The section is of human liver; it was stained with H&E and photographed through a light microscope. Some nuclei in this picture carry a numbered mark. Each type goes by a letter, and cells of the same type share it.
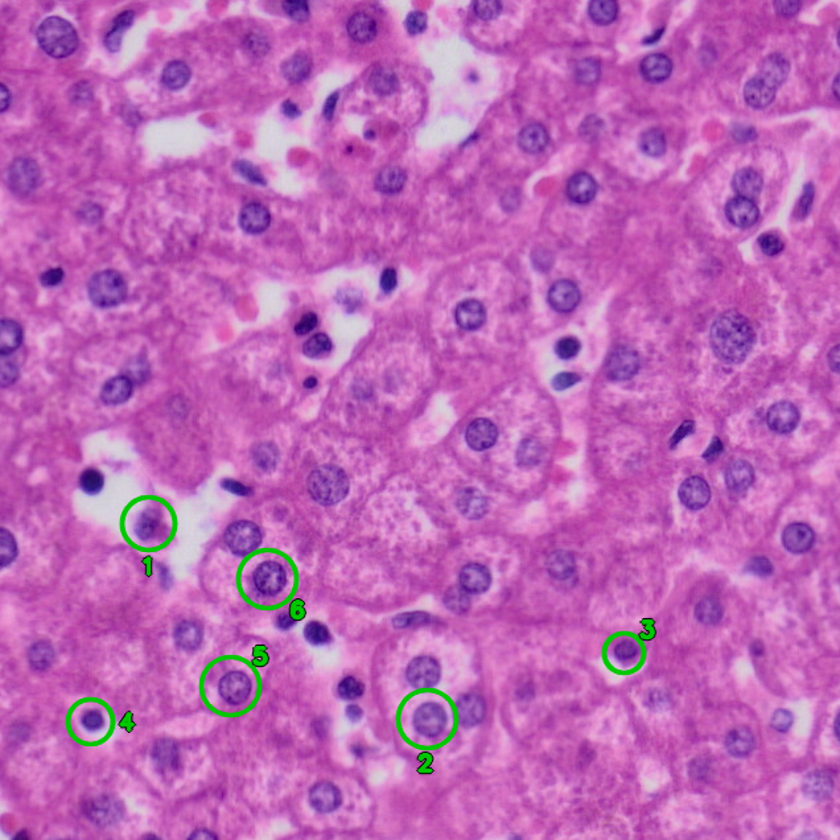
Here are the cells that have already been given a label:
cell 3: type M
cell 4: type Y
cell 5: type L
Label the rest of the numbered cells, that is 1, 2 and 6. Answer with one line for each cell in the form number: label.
1: type M
2: type L
6: type L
